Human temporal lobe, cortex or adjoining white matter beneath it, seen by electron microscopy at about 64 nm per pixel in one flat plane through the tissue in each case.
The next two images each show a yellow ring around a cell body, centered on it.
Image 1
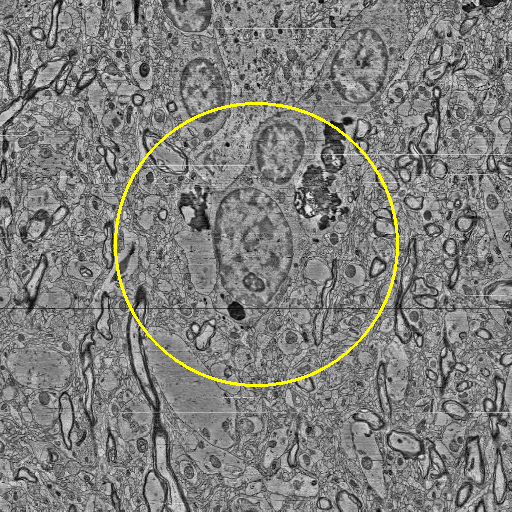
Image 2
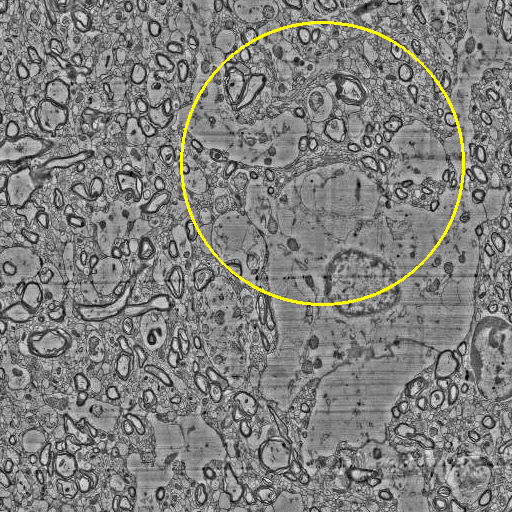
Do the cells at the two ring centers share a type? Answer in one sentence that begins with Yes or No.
No, across the two images the cells at the ring centers are of two types.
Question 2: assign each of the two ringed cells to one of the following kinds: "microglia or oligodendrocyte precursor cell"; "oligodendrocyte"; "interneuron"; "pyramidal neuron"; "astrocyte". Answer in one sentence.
The two cells are an oligodendrocyte in the first picture and an astrocyte in the second.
